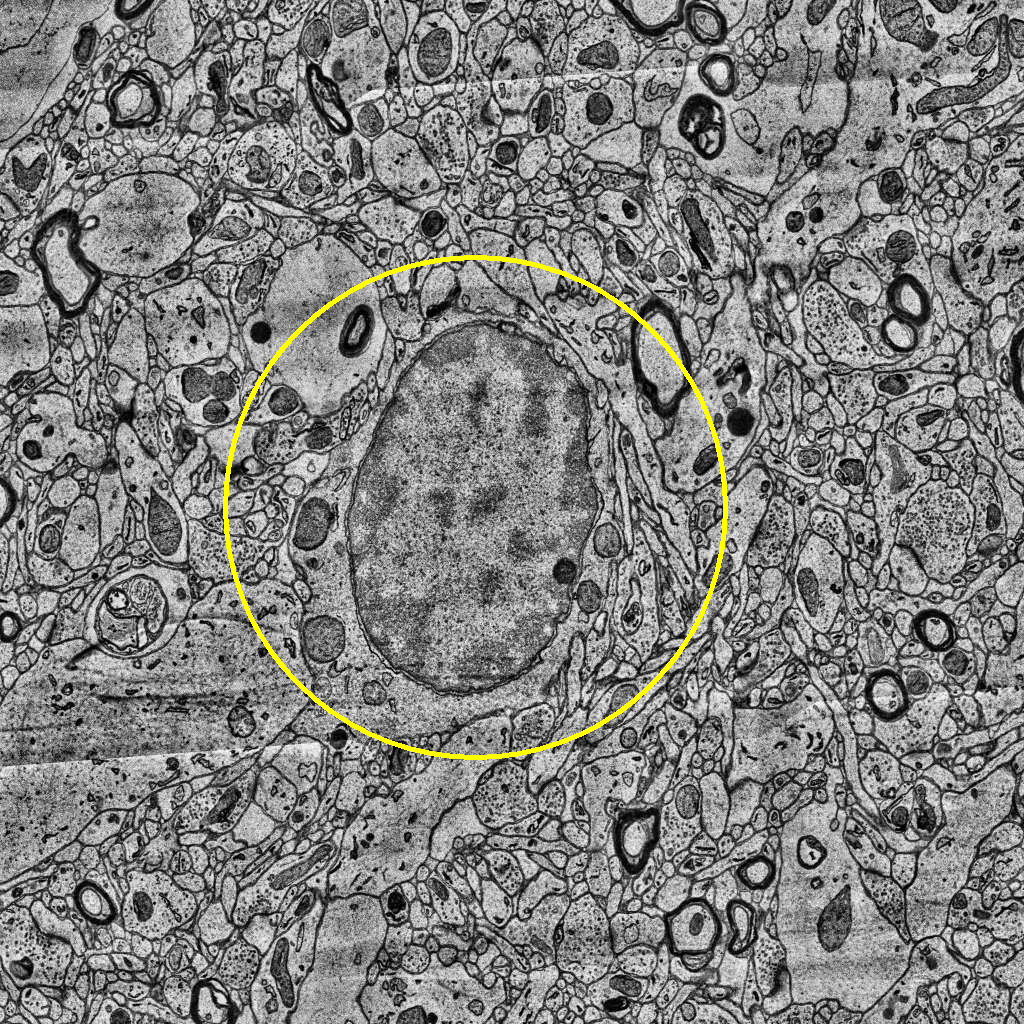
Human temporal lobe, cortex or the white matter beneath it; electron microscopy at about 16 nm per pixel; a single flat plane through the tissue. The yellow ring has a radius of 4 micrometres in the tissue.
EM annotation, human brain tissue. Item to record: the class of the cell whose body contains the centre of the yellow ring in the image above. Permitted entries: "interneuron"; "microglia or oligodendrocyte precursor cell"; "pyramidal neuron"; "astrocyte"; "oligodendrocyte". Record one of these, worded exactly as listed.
oligodendrocyte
